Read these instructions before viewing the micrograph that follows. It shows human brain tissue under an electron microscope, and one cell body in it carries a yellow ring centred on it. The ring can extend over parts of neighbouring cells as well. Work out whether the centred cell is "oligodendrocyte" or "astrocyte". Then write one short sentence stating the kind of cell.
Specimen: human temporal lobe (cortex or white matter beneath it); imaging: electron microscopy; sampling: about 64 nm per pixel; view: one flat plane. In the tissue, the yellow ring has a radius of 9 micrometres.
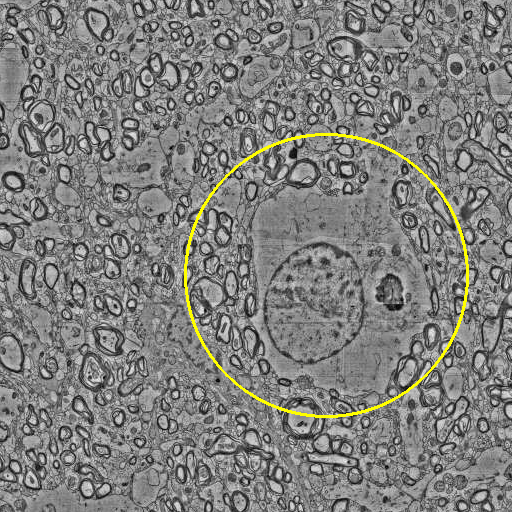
The ringed cell is an astrocyte.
